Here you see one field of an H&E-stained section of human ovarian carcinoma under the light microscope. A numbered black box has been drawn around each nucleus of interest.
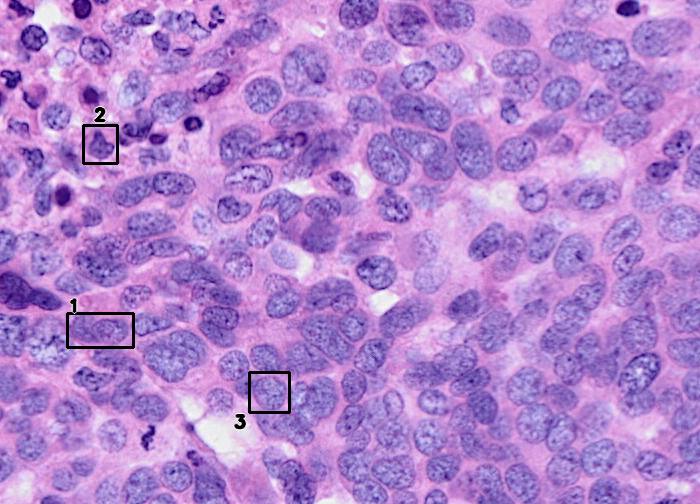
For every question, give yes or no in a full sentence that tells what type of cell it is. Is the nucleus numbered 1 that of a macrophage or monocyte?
No, it is a carcinoma cell that is marked with number 1, not a macrophage or monocyte.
